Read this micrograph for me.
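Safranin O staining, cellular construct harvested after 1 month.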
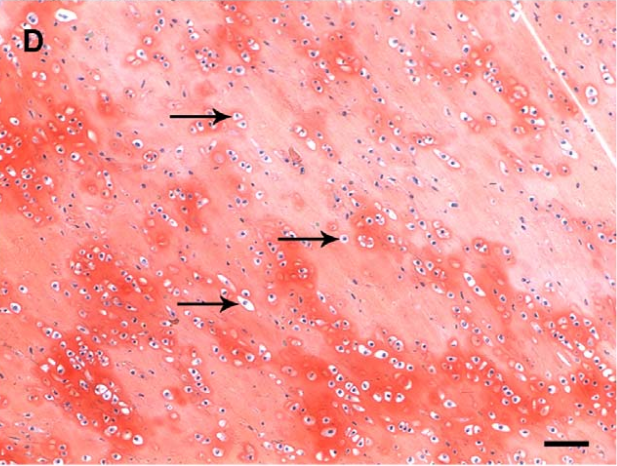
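This is cartilage made of lacunar chondrocytes embedded throughout a matrix stained red to pink. The chondrocytes are small rounded cells with dark nuclei, each sitting in a clear space, lying singly or in small clusters. The red staining is uneven, deeper around cell clusters and paler in between.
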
